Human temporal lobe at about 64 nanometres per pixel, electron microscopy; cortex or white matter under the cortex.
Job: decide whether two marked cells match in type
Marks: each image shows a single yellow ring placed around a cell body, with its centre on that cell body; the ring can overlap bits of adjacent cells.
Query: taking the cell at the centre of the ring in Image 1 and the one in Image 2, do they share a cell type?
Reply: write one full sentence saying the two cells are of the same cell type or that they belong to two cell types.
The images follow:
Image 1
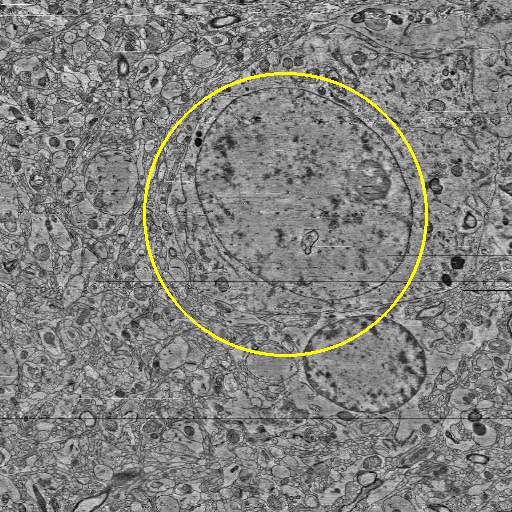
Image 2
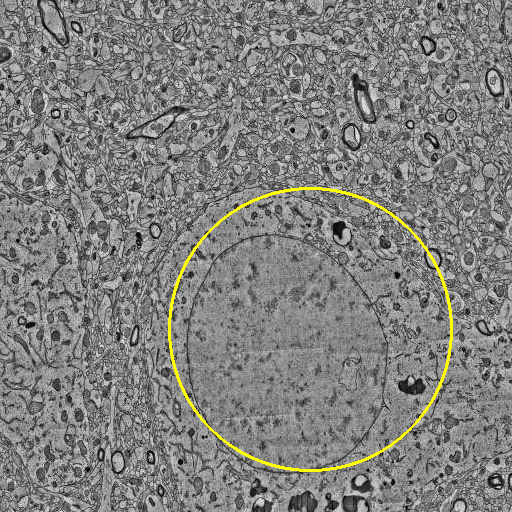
The cells at the ring centres in Image 1 and Image 2 are of the same cell type.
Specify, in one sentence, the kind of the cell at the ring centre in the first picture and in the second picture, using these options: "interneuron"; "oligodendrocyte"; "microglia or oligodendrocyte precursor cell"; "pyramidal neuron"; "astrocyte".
Each of the two rings is centred on a pyramidal neuron.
